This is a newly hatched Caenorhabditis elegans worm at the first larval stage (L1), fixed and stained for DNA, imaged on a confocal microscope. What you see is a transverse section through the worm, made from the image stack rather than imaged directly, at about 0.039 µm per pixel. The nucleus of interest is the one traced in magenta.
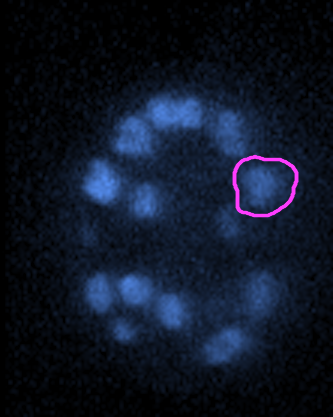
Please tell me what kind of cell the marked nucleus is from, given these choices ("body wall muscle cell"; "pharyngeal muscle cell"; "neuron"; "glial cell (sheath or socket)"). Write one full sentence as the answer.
This nucleus is from a neuron.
